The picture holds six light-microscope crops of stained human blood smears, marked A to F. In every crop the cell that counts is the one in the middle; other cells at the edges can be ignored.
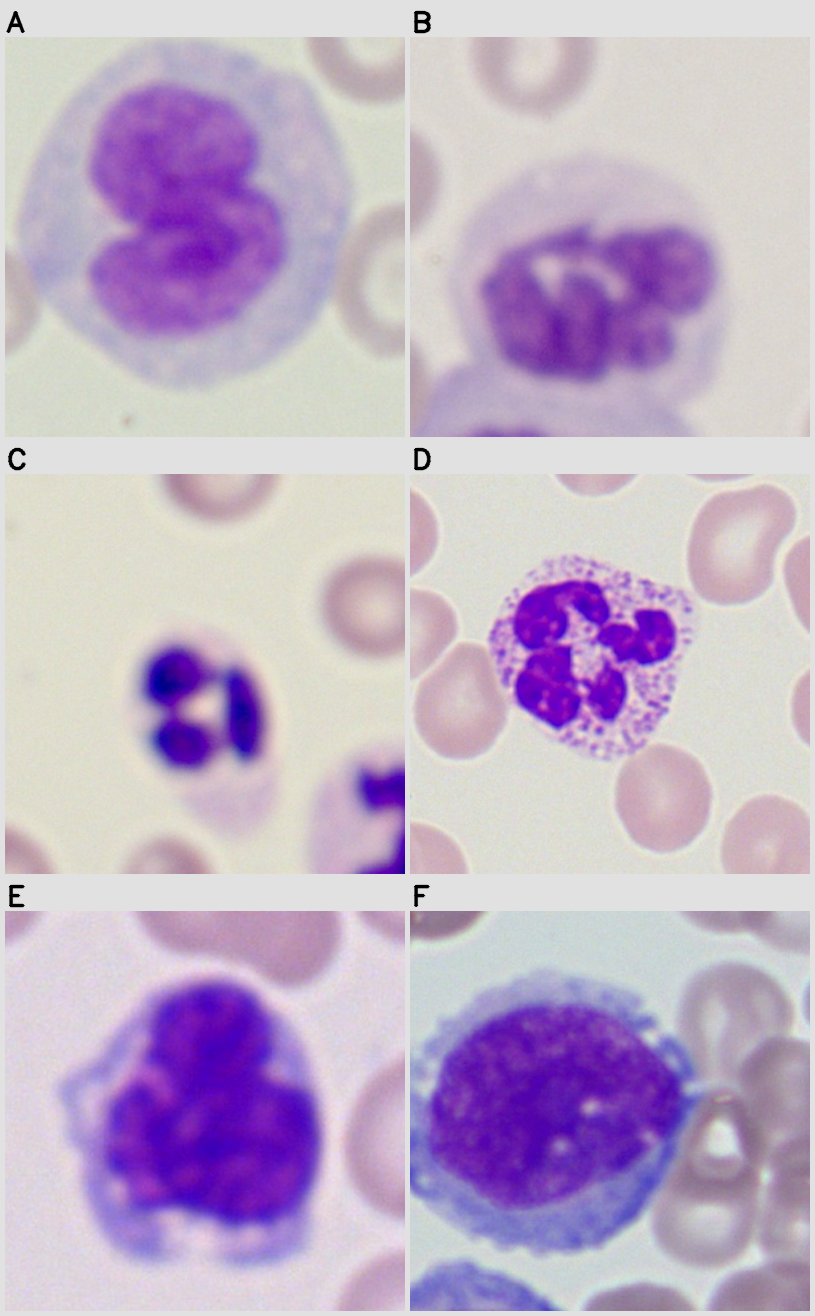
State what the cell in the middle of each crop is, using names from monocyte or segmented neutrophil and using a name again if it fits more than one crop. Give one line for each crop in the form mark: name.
A: monocyte
B: segmented neutrophil
C: segmented neutrophil
D: segmented neutrophil
E: monocyte
F: monocyte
